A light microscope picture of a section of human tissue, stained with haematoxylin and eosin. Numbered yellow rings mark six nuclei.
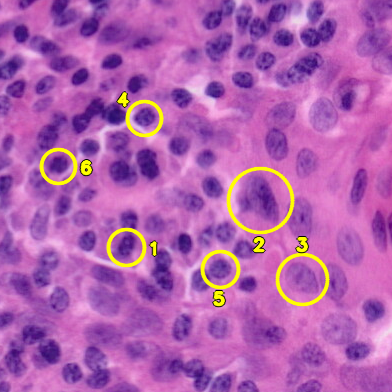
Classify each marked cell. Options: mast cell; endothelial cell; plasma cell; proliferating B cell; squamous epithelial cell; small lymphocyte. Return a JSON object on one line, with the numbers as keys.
{"1": "plasma cell", "2": "squamous epithelial cell", "3": "squamous epithelial cell", "4": "plasma cell", "5": "plasma cell", "6": "plasma cell"}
